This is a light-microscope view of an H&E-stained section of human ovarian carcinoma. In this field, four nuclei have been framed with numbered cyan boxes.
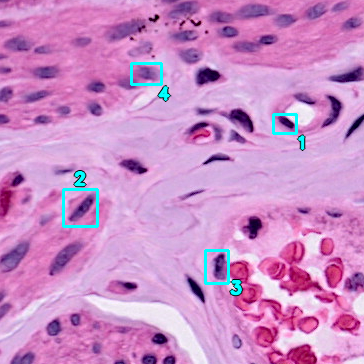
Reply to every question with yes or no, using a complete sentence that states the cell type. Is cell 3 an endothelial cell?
Yes, the cell at number 3 is an endothelial cell.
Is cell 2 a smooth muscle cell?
Yes, and to answer plainly, cell 2 is a smooth muscle cell.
